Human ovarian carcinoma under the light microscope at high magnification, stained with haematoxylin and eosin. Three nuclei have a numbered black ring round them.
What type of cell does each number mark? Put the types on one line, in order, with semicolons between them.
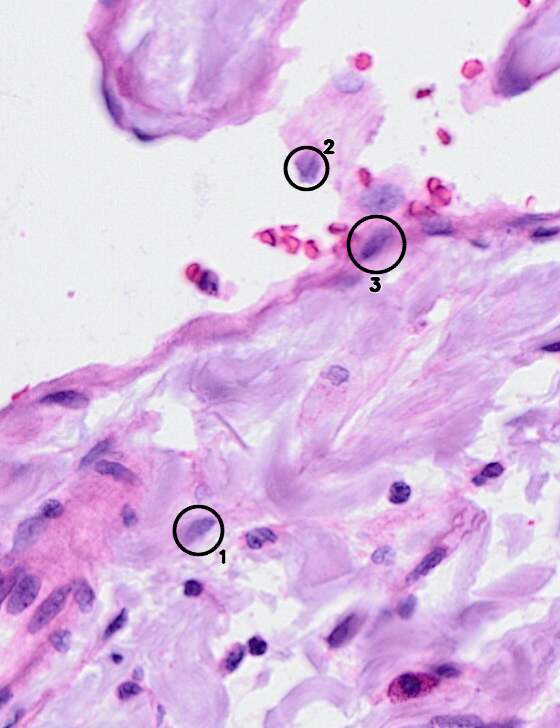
fibroblast; endothelial cell; endothelial cell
